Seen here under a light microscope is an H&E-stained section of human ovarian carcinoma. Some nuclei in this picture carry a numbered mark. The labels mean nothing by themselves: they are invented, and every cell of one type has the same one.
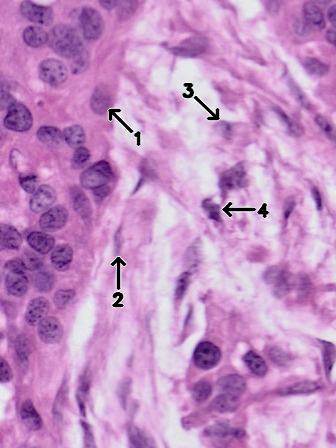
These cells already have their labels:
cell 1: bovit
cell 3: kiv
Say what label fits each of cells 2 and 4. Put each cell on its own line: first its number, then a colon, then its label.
2: kiv
4: kiv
